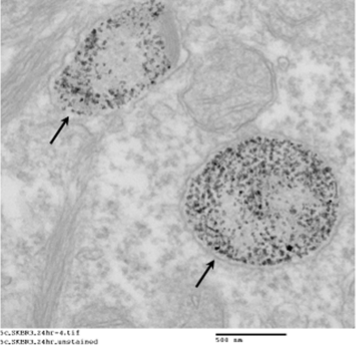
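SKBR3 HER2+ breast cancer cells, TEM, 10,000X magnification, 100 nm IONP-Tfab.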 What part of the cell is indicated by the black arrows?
Intracellular vesicles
